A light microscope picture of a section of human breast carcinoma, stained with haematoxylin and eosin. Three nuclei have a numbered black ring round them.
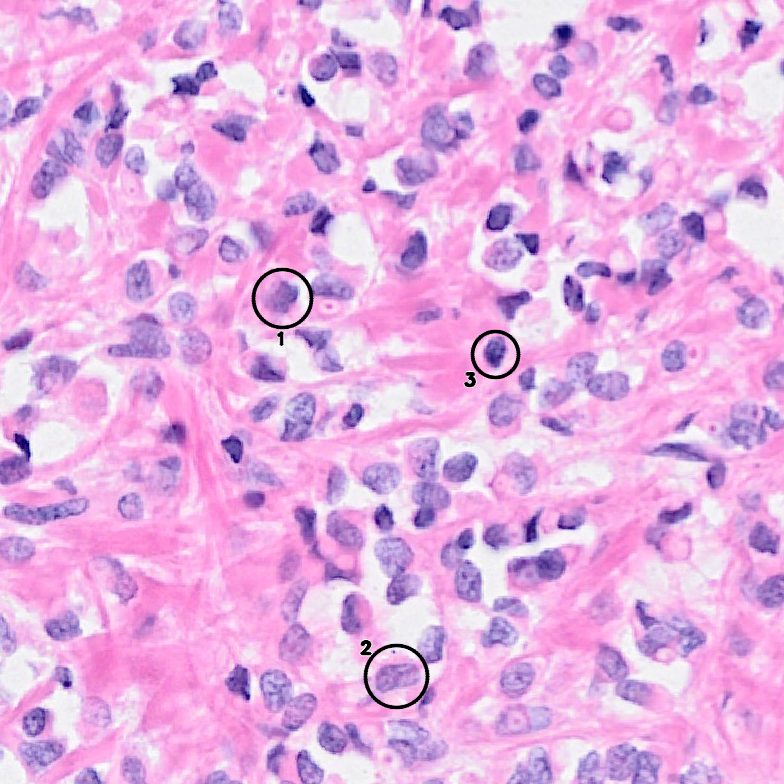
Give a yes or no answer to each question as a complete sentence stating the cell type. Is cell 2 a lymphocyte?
No, cell 2 counts as a carcinoma cell rather than as a lymphocyte.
